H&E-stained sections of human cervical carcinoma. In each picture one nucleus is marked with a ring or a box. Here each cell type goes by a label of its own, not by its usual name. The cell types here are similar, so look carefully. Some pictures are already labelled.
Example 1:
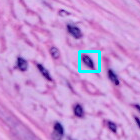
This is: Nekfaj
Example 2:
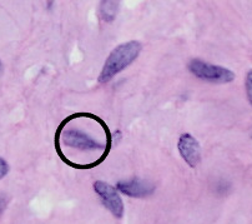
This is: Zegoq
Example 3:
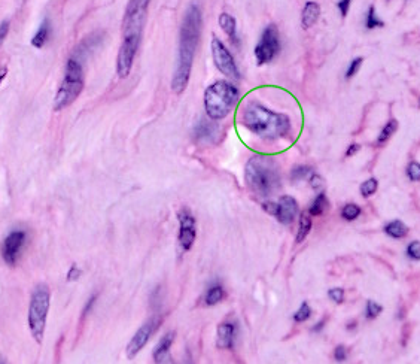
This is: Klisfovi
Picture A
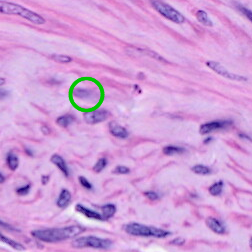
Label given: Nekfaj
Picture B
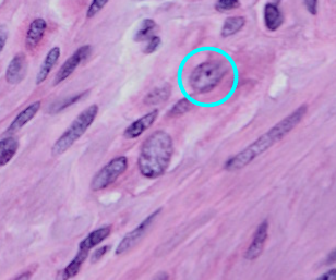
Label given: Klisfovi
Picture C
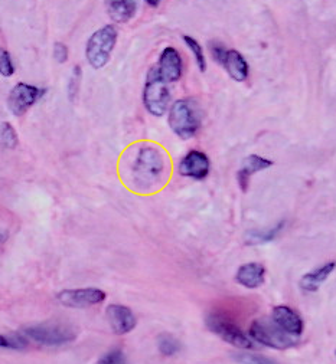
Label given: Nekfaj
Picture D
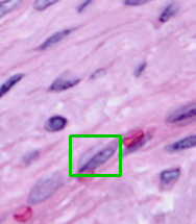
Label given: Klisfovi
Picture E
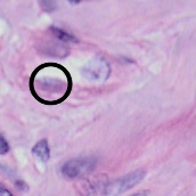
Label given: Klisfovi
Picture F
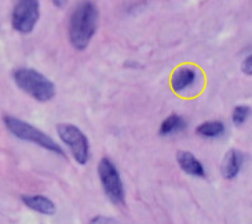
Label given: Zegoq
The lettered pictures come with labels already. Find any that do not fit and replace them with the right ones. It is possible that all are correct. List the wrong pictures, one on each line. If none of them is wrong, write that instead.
C is labelled Nekfaj; correct label: Klisfovi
